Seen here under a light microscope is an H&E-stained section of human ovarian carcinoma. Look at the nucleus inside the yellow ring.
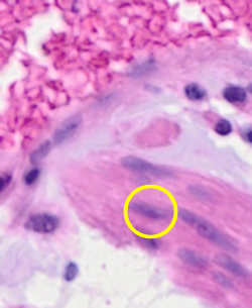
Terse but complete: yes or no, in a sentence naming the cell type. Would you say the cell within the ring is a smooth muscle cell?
Yes, the statement that the cell within the ring is a smooth muscle cell is correct.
